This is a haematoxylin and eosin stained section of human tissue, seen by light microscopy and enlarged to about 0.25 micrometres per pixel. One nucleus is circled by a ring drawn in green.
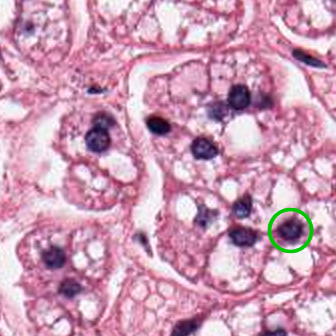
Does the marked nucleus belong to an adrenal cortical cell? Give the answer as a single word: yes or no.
yes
